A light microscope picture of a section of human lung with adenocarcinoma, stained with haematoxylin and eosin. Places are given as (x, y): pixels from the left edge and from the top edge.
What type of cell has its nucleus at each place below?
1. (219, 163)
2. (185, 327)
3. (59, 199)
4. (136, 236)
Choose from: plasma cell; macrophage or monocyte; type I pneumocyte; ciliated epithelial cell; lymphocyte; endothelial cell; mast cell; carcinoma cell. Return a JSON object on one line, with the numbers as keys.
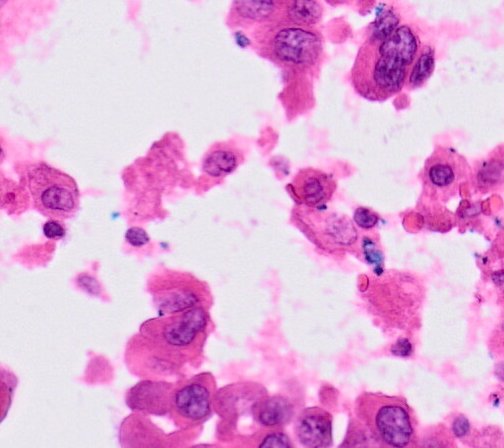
{"1": "macrophage or monocyte", "2": "carcinoma cell", "3": "macrophage or monocyte", "4": "lymphocyte"}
